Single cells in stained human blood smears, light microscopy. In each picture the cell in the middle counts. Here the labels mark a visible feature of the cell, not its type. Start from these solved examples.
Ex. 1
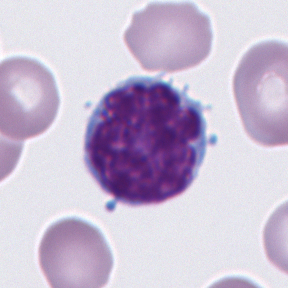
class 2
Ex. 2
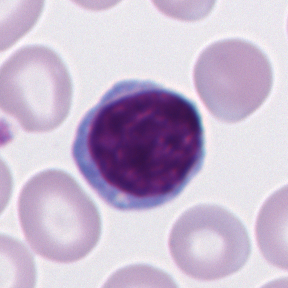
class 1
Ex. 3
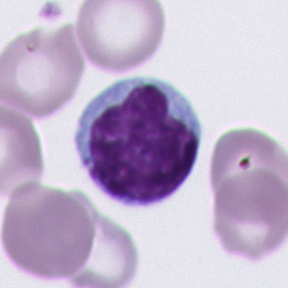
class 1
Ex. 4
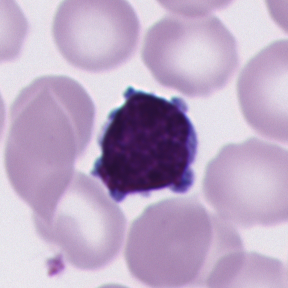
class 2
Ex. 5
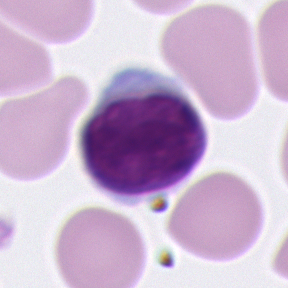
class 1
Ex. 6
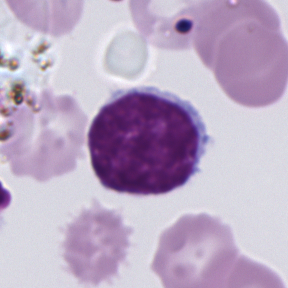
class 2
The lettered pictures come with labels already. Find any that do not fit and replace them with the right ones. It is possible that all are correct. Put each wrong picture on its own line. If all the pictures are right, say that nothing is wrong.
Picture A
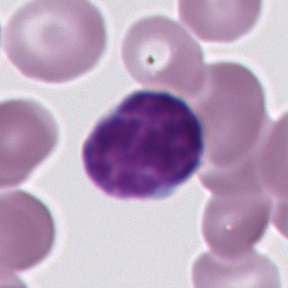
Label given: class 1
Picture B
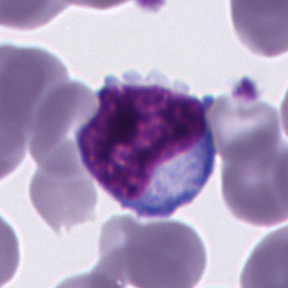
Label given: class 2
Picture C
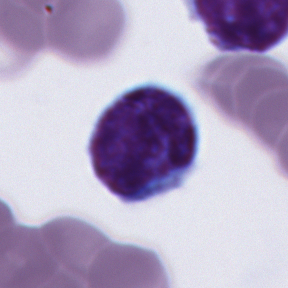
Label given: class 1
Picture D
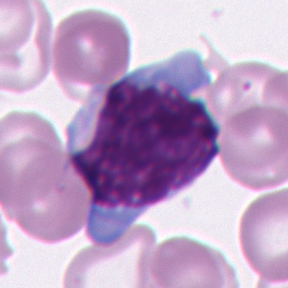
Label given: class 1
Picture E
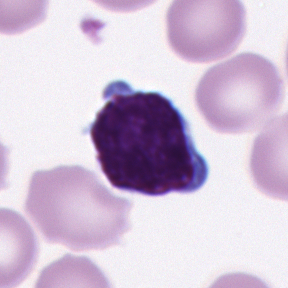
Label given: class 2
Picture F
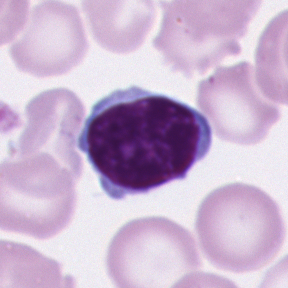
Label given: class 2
D: change class 1 to class 2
